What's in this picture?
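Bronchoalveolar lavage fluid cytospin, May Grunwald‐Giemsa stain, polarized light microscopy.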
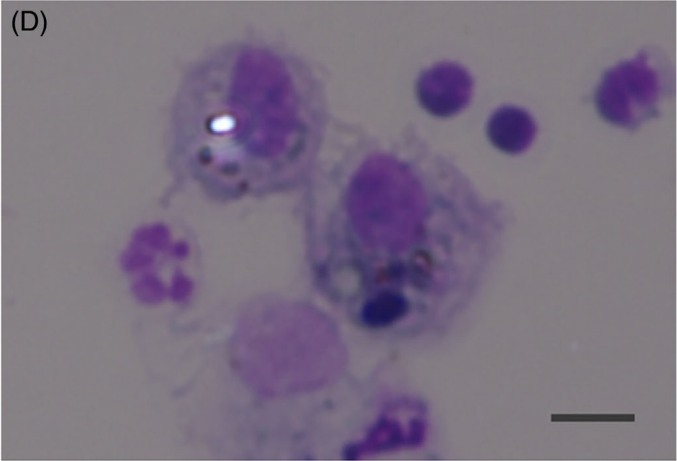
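Large cells with oval purple nuclei and broad pale cytoplasm lie in the centre, with small round dark-nucleated cells at the upper right and a cell with a lobed nucleus at the left. Within the cytoplasm of the large cell at upper left a single small particle shines bright white, standing out sharply from its surroundings, while the other dark granules in the cytoplasm remain dull.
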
